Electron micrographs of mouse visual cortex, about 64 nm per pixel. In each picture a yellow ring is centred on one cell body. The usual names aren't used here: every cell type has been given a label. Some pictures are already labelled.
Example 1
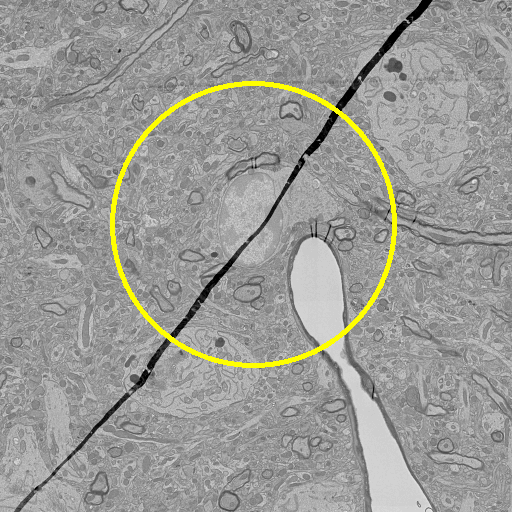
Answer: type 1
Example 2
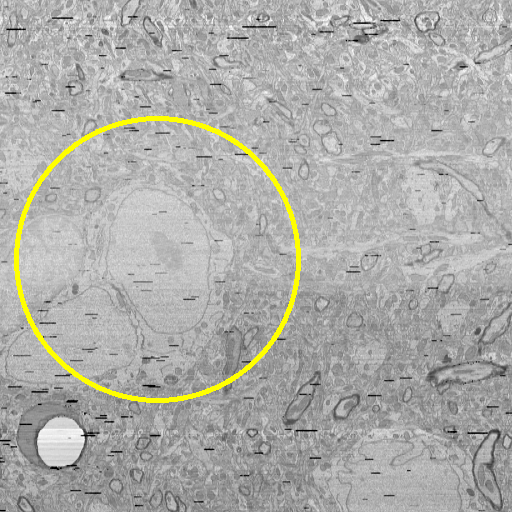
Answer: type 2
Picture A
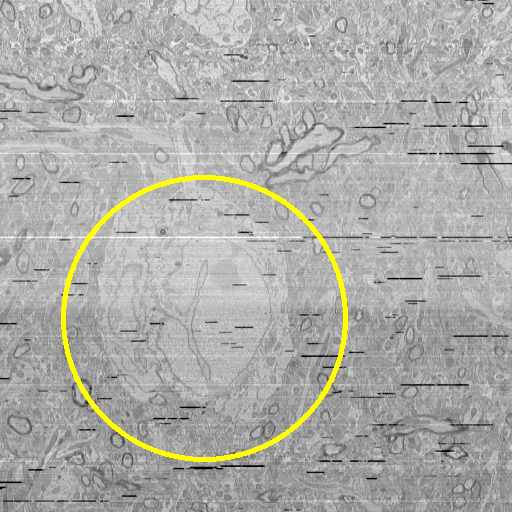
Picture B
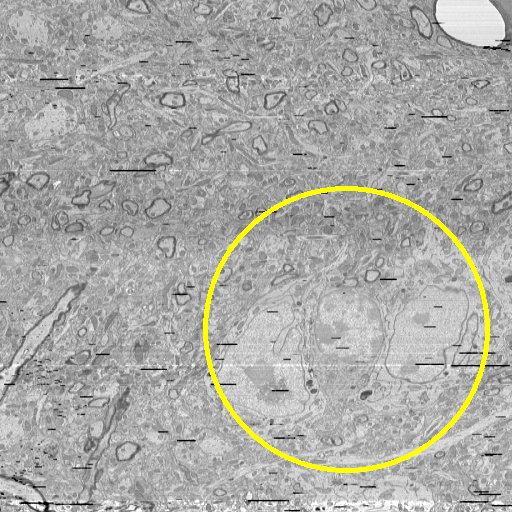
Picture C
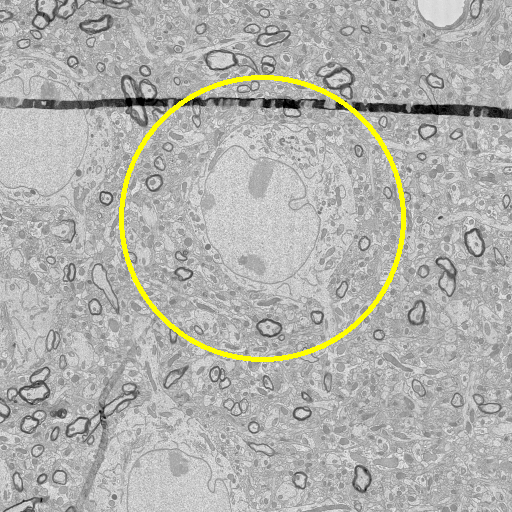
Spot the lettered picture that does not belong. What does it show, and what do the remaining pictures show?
Odd one out: B (type 1). The rest: type 2.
